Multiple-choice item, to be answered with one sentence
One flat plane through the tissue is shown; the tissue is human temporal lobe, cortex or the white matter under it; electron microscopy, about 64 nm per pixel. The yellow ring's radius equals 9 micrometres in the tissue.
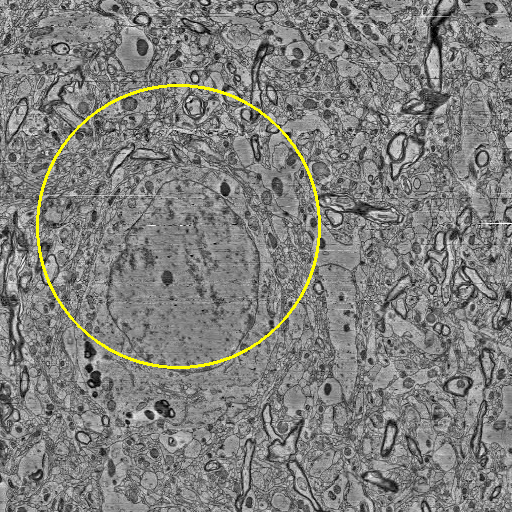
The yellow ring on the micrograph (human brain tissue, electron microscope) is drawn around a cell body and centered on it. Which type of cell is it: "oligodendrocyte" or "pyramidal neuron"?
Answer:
The ring is centered on a pyramidal neuron.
